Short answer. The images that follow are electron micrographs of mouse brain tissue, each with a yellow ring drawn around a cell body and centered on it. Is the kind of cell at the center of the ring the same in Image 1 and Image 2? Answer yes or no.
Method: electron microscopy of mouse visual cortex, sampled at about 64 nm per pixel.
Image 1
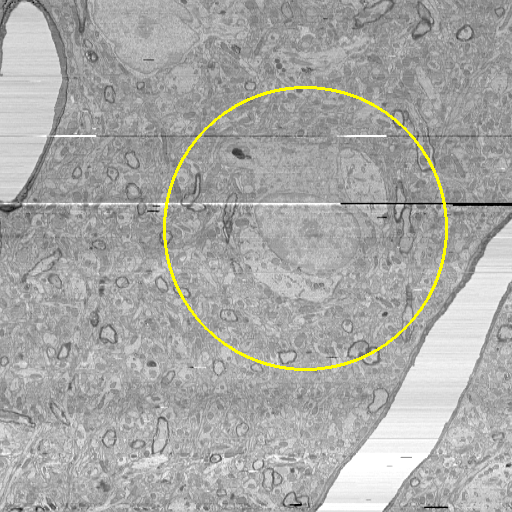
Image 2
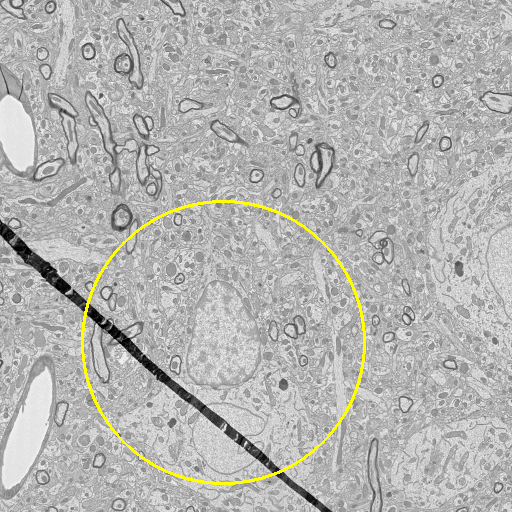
yes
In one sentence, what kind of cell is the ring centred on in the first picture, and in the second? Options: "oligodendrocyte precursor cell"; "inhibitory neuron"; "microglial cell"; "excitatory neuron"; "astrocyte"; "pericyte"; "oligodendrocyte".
Both pictures show an oligodendrocyte at the centre of the ring.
